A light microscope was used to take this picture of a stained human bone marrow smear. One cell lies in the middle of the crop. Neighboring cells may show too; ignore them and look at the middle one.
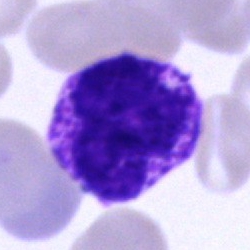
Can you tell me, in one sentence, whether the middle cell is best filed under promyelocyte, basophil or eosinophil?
The central cell in this smear crop is a basophil.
